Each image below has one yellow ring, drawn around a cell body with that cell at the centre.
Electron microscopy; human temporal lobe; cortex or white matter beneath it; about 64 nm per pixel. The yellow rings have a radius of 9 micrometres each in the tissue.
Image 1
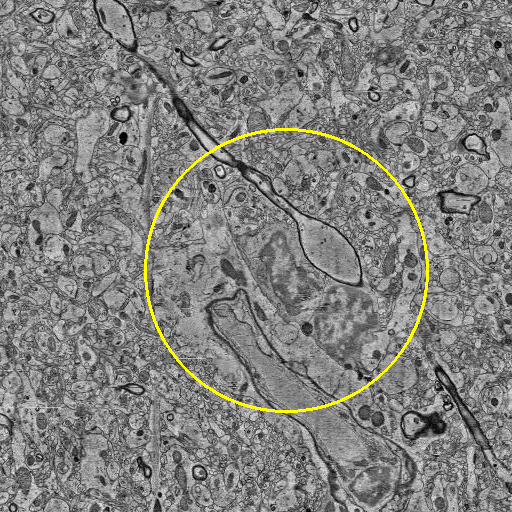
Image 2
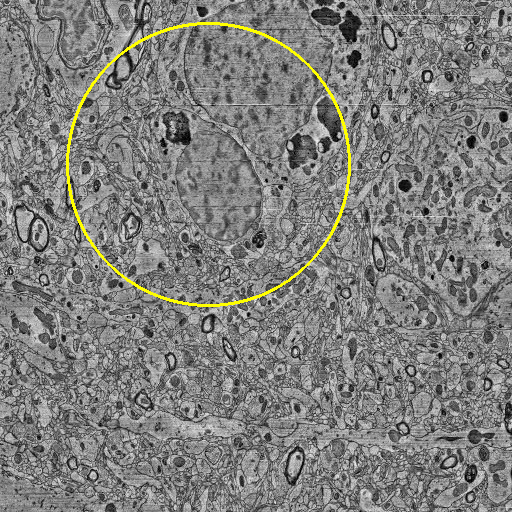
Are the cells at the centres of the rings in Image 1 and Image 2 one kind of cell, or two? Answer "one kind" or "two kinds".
one kind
